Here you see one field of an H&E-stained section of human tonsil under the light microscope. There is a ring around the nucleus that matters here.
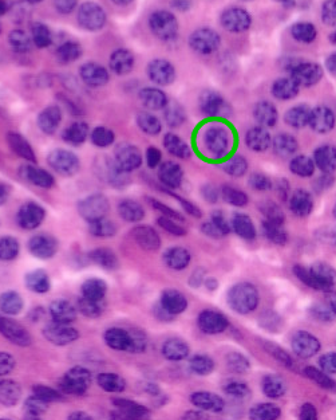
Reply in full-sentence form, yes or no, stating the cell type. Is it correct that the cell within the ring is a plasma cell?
Yes, the cell within the ring counts as a plasma cell in this tissue.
